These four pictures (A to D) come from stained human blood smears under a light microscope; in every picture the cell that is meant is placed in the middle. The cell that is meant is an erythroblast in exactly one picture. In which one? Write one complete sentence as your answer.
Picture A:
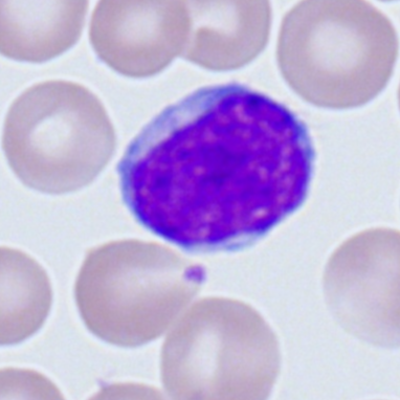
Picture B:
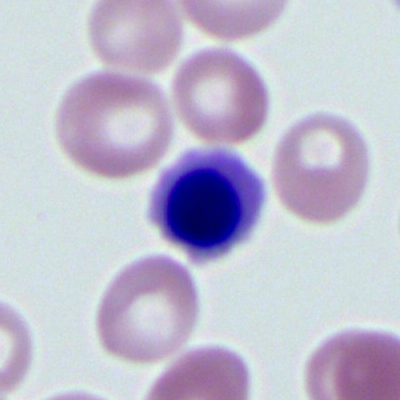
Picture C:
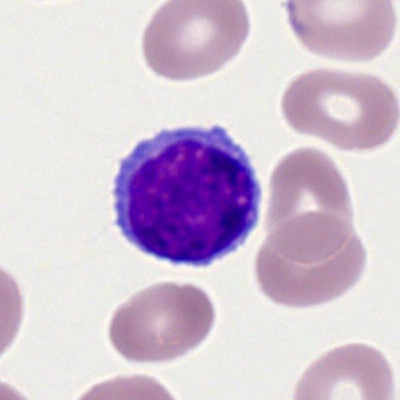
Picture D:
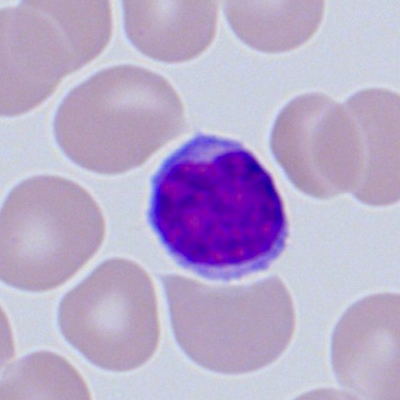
Picture B shows the erythroblast.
